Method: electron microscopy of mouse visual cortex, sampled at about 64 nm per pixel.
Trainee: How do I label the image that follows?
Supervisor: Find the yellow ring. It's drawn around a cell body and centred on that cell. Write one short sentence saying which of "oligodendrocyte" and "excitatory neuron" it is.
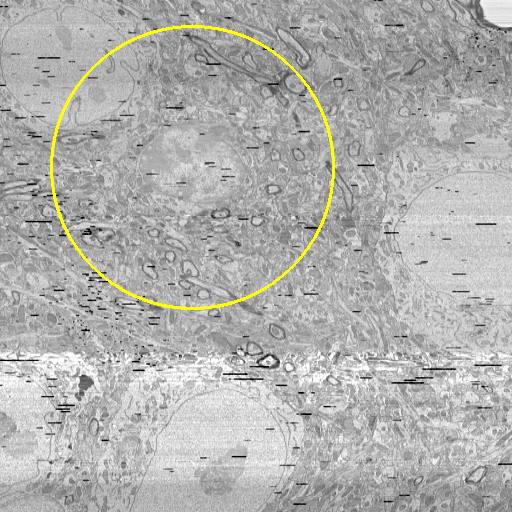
This is the cell body of an oligodendrocyte.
